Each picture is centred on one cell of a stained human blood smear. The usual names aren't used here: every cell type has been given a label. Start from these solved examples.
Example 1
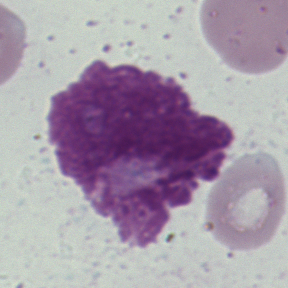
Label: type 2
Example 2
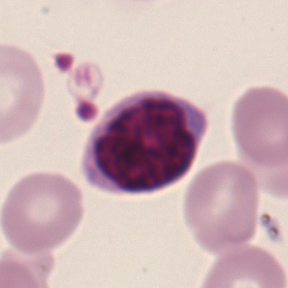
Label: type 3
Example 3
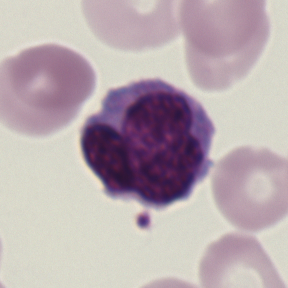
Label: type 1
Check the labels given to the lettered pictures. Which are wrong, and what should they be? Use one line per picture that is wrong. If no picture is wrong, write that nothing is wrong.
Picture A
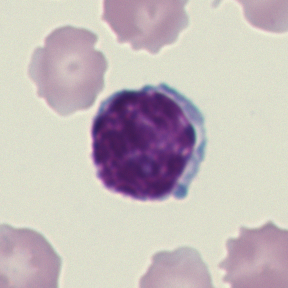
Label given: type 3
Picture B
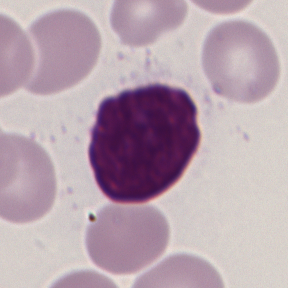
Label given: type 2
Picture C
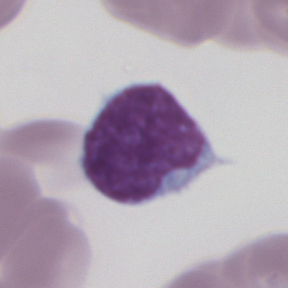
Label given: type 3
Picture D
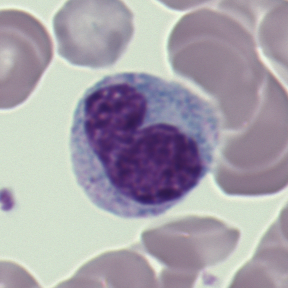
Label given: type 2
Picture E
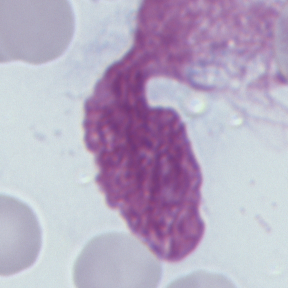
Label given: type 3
Wrong: D (type 2); correct: type 1
Wrong: E (type 3); correct: type 2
